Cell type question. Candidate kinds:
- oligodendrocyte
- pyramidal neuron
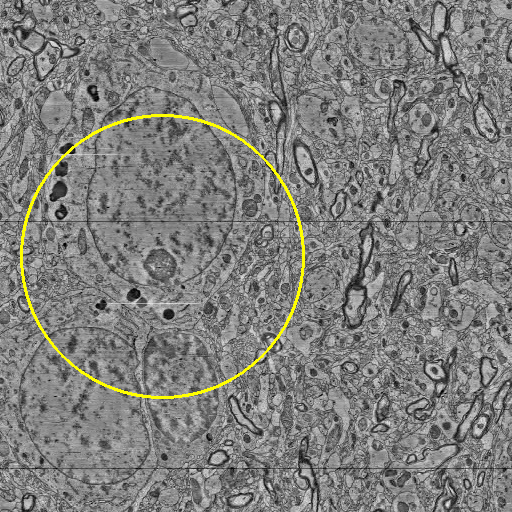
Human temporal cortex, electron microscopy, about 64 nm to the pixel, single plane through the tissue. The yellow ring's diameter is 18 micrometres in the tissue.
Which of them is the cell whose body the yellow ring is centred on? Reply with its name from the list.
pyramidal neuron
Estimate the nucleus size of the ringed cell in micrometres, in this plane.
The nucleus comes to roughly 13 by 10 micrometres in this plane.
